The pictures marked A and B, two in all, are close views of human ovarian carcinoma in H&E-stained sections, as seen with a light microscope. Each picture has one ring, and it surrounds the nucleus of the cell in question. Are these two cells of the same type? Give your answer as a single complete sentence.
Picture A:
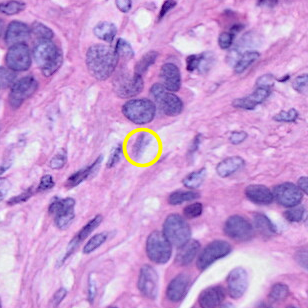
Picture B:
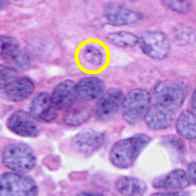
No, the types are not the same, since picture A shows a fibroblast and picture B a “macrophage or monocyte”.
